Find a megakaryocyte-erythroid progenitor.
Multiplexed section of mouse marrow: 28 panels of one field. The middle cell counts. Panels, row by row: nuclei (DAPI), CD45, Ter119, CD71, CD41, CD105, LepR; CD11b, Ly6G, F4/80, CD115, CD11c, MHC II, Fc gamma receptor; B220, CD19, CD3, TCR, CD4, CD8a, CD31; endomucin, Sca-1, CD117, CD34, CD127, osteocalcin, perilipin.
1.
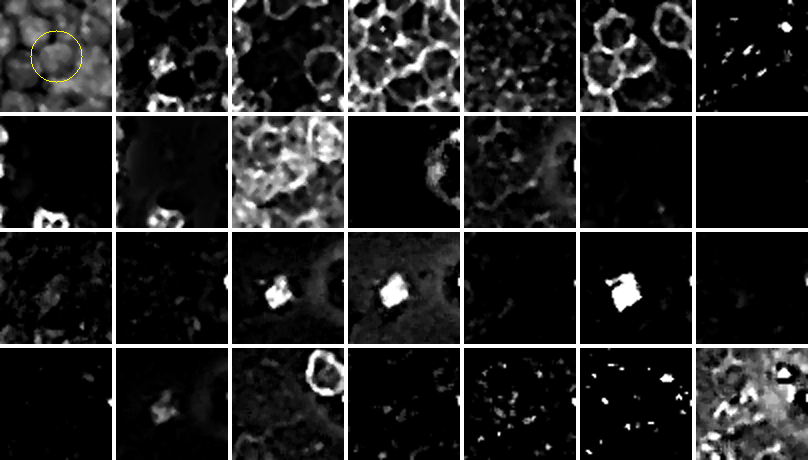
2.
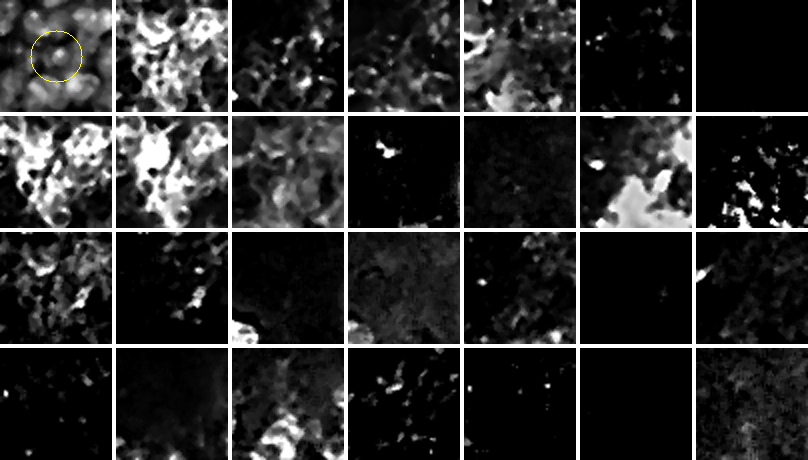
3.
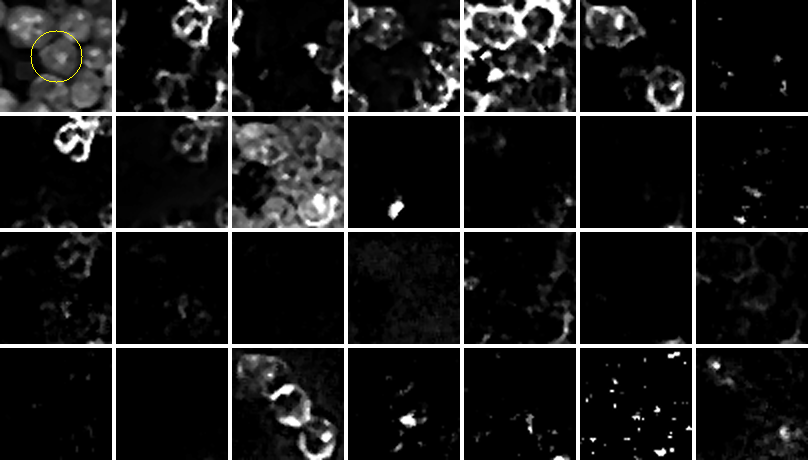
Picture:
3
